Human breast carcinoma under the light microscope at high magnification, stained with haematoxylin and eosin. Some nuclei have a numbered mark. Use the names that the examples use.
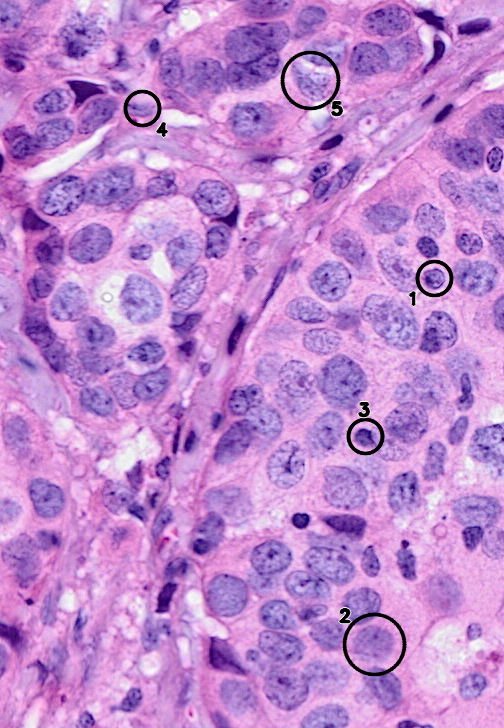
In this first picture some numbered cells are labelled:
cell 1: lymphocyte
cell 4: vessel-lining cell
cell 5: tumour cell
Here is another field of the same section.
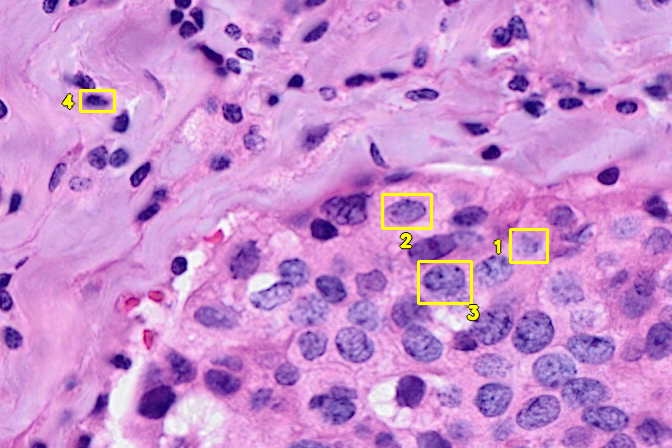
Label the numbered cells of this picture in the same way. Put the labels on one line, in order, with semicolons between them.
tumour cell; tumour cell; tumour cell; lymphocyte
